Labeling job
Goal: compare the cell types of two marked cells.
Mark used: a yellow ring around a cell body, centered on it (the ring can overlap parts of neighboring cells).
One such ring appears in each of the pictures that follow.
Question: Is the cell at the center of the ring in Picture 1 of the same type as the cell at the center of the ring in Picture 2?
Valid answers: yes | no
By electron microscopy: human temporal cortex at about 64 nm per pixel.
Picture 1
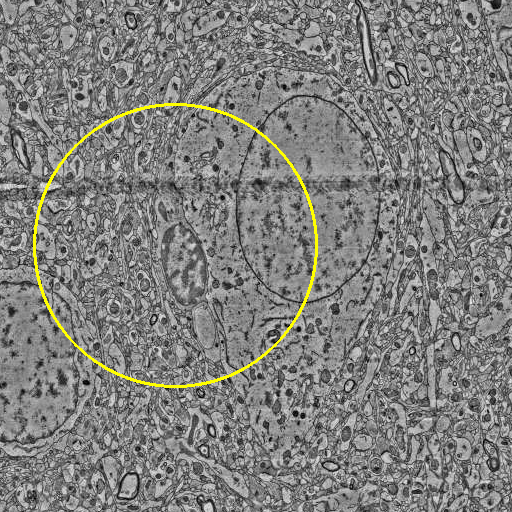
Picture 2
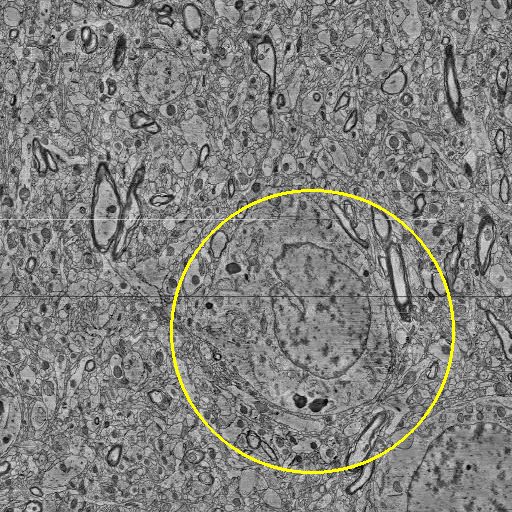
no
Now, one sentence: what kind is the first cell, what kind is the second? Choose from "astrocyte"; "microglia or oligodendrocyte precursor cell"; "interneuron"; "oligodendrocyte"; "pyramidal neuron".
The first picture has an oligodendrocyte at its ring centre, and the second has a pyramidal neuron.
